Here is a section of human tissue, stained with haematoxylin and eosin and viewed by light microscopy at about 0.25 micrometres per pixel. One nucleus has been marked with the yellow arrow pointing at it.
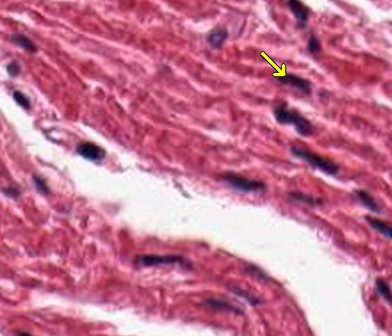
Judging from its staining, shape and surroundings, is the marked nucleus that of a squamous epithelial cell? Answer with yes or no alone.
no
